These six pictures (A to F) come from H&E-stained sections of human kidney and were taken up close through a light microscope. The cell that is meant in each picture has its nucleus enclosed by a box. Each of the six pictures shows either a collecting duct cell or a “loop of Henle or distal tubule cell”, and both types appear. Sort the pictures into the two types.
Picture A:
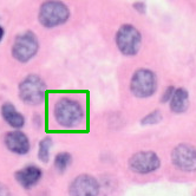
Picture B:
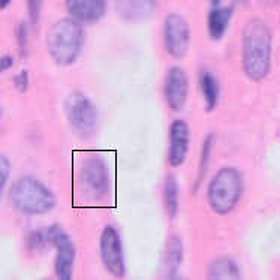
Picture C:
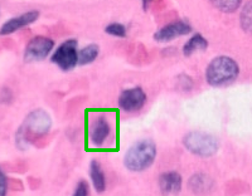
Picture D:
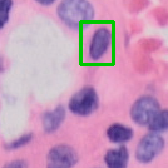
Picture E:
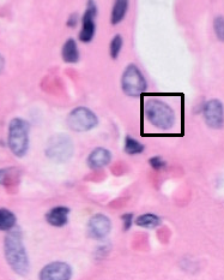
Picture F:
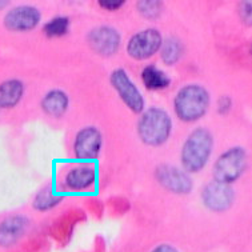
A: loop of Henle or distal tubule cell
B: loop of Henle or distal tubule cell
C: loop of Henle or distal tubule cell
D: collecting duct cell
E: collecting duct cell
F: collecting duct cell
